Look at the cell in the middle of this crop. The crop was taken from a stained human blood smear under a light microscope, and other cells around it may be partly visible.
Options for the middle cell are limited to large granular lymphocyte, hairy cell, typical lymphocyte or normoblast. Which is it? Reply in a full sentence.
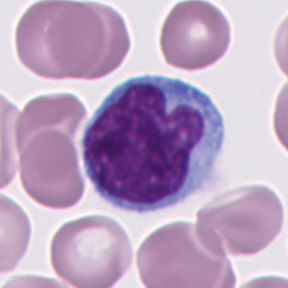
This particular crop is centered on a typical lymphocyte.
